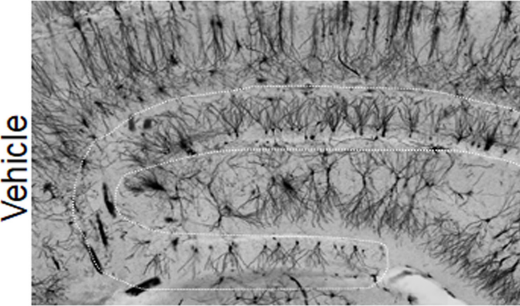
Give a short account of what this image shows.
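Black-impregnated neurons sit in two curved bands that together form an arc, outlined by white dashed lines, with their dendrites fanning out in one direction into the neighbouring layer. These are dentate granule cells in the supra‐ and infrapyramidal blades, with scattered other impregnated cells and processes in the surrounding tissue.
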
